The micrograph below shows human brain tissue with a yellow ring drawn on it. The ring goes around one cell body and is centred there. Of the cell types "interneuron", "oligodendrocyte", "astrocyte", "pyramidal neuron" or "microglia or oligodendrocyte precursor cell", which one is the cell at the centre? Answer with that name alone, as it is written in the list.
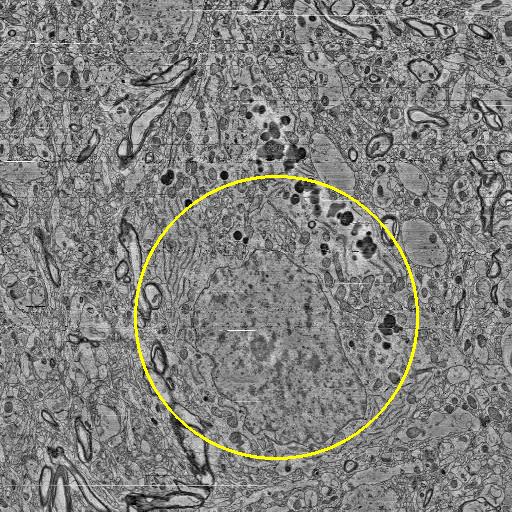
interneuron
